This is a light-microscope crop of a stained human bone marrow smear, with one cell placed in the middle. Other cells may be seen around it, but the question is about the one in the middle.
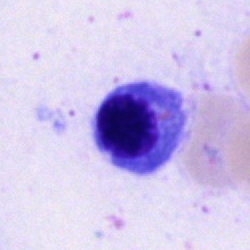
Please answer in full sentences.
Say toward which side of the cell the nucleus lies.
The nucleus lies toward the left of the cell.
